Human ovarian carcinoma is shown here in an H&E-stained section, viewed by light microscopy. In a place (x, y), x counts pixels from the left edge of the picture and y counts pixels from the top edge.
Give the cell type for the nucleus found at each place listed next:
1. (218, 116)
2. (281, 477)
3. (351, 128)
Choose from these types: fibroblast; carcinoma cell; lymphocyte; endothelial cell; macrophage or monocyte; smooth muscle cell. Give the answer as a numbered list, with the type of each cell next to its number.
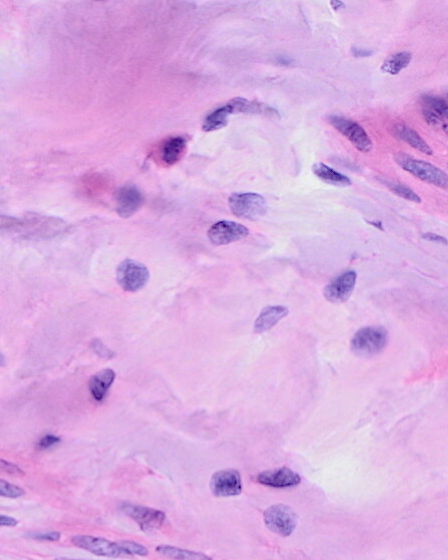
1. fibroblast
2. fibroblast
3. smooth muscle cell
